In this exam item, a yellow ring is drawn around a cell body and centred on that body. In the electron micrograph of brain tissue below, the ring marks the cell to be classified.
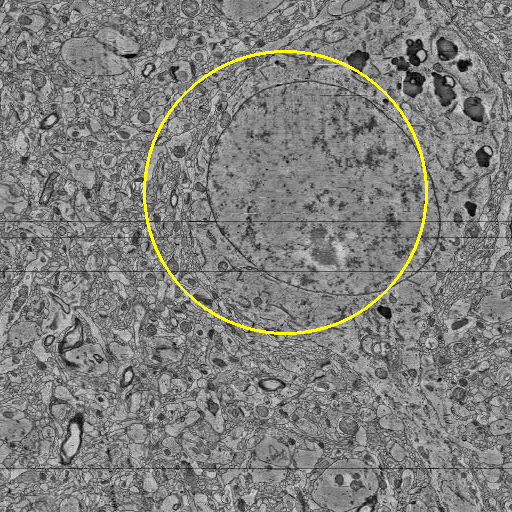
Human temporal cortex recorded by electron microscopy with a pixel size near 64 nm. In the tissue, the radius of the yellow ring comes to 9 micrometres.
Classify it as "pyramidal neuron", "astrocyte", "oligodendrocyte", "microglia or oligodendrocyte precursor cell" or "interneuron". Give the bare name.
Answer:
pyramidal neuron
